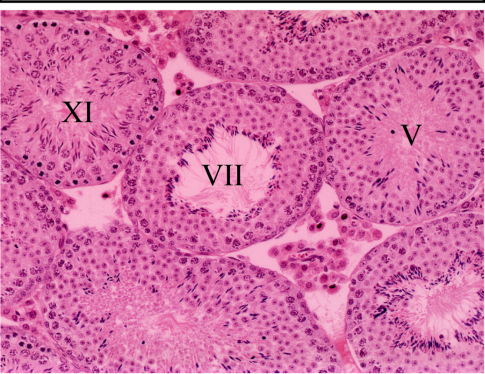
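This is normal testis in which seminiferous tubules are filled with a thick, many-layered germinal epithelium. Rows of round nuclei lie from the basal wall toward the lumen, and near the lumen elongated dark spermatid heads cluster, with pale tails projecting into the centre of some tubules. Between the tubules lies a small amount of interstitial tissue with clusters of cells and vessels.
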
